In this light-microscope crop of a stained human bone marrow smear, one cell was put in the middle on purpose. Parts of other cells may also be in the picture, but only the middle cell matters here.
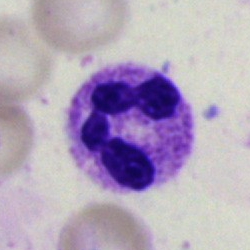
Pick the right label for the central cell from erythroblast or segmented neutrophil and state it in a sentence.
The cell of interest, located centrally, is a segmented neutrophil.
